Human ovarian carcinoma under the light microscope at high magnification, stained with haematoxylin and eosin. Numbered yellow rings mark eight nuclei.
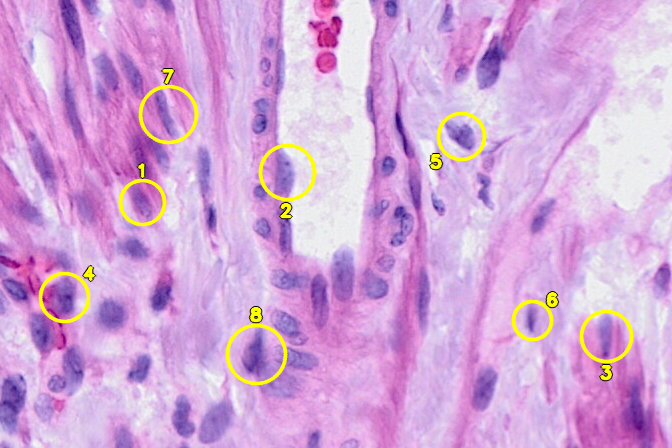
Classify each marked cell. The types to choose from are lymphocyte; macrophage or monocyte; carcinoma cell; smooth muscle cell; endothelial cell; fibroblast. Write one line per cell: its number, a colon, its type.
1: smooth muscle cell
2: endothelial cell
3: smooth muscle cell
4: endothelial cell
5: fibroblast
6: fibroblast
7: smooth muscle cell
8: fibroblast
